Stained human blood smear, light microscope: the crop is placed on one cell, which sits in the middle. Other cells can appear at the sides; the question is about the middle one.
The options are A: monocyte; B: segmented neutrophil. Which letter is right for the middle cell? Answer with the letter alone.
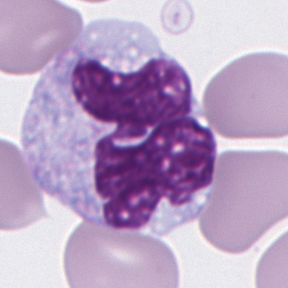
A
